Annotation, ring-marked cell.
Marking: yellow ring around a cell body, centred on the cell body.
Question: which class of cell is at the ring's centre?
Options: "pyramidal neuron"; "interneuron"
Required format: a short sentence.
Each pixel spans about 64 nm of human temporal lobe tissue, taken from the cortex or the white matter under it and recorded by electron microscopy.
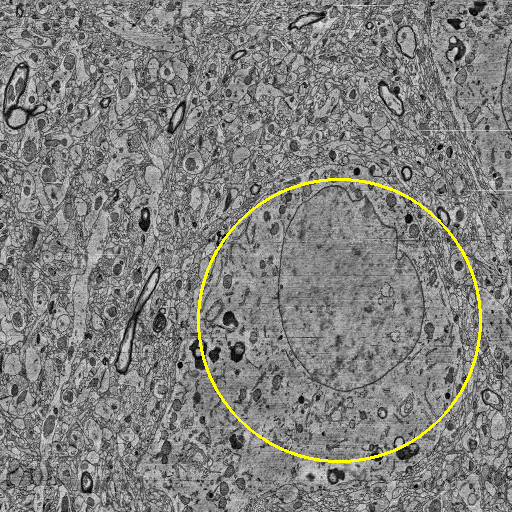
At the ring's centre is a pyramidal neuron.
